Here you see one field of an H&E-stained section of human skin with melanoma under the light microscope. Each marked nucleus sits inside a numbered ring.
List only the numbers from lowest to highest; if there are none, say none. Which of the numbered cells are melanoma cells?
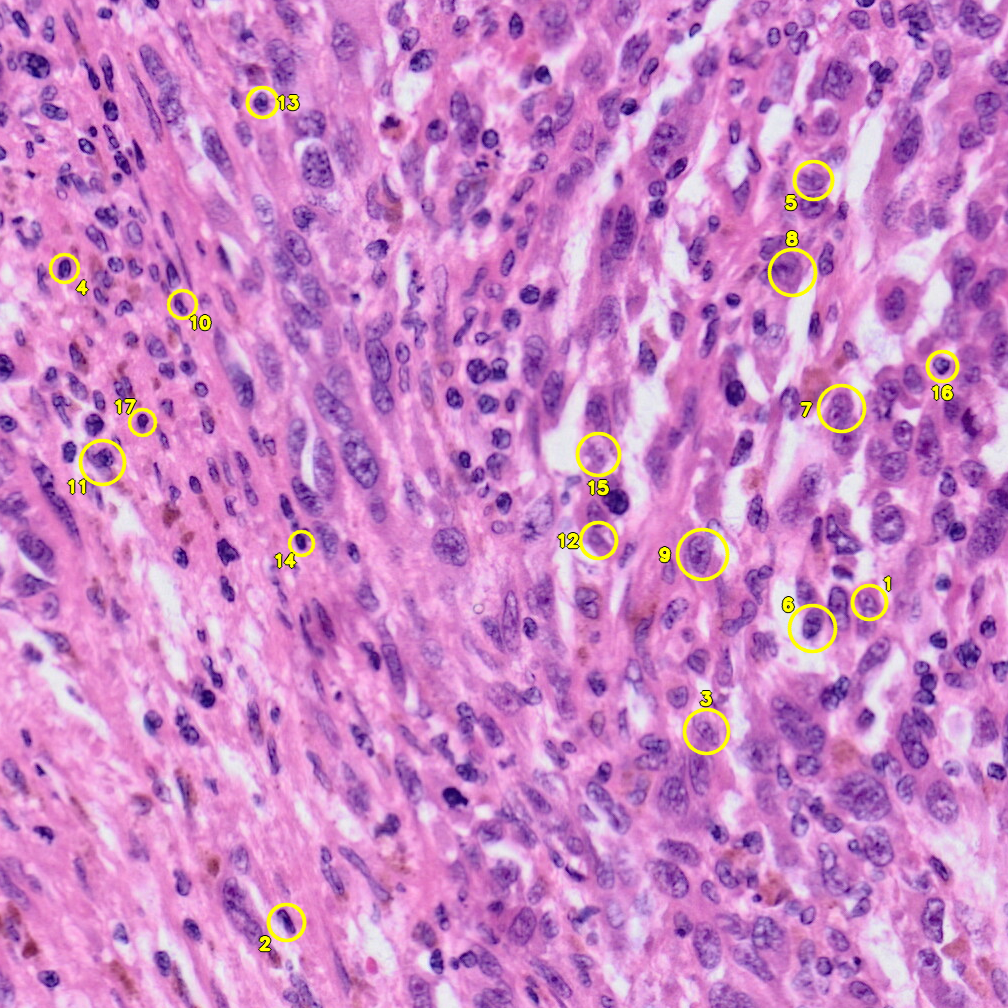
1, 3, 5, 6, 7, 8, 9, 12, 15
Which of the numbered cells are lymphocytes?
2, 4, 10, 13, 14, 16, 17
